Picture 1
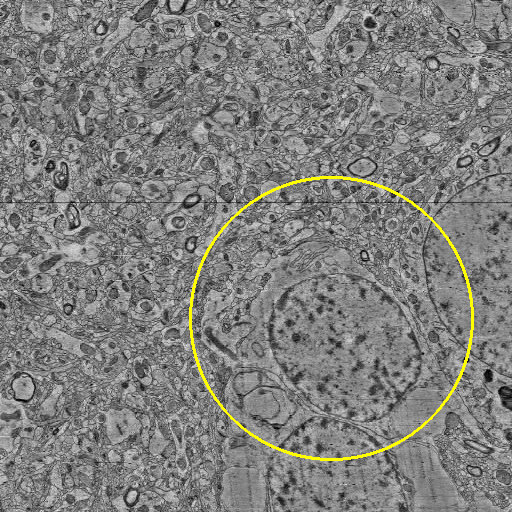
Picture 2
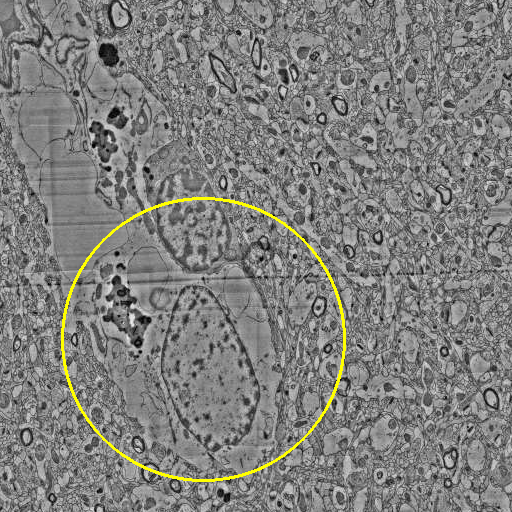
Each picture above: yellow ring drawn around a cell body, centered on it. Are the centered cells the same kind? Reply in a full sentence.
Yes, the two cells are the same kind.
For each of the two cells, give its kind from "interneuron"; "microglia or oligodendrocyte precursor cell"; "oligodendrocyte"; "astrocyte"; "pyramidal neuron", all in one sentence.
In each picture the ringed cell is an astrocyte.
